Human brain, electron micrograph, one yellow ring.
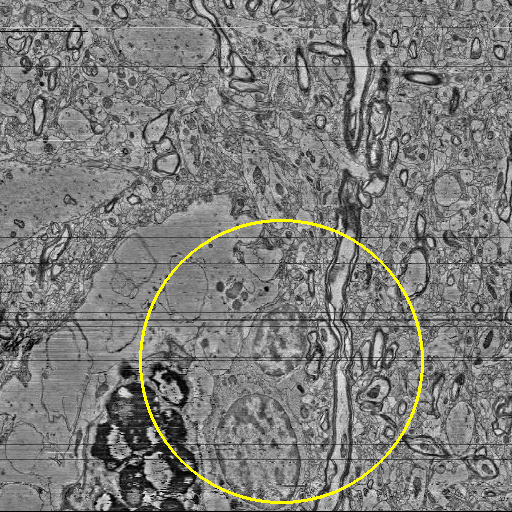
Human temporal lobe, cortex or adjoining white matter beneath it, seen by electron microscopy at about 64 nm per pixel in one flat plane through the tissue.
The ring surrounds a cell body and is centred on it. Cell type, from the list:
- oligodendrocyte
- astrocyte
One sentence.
The yellow ring circles an oligodendrocyte.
